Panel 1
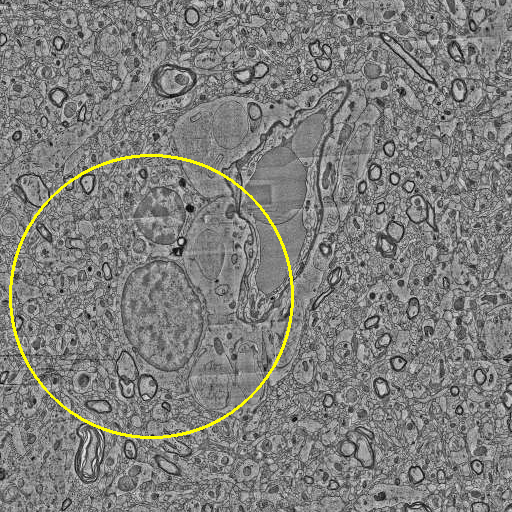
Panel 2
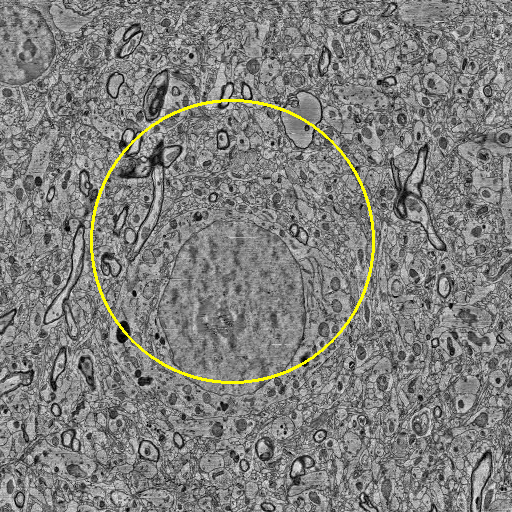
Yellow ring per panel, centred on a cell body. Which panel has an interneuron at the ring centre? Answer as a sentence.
Panel 2 shows it at the ring centre.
